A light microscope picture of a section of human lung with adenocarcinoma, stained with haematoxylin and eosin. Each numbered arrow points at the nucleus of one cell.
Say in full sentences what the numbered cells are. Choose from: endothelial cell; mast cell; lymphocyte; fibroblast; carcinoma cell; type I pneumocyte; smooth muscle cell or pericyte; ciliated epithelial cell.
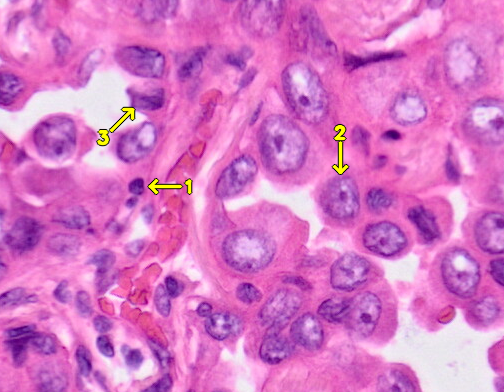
Cell 1 is a lymphocyte, cell 2 is a carcinoma cell and cell 3 is a carcinoma cell.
